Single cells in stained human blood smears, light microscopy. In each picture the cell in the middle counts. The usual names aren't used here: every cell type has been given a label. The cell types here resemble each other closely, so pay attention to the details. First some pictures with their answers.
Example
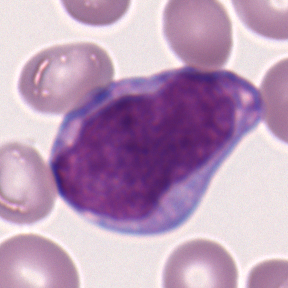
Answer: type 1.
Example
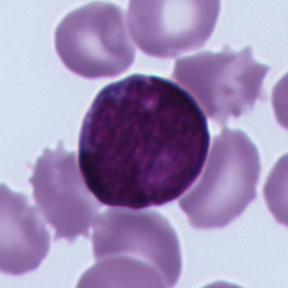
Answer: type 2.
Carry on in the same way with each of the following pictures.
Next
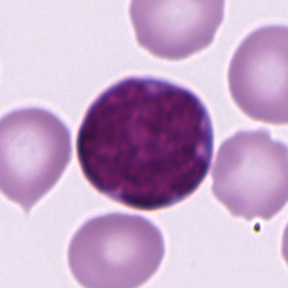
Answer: type 2.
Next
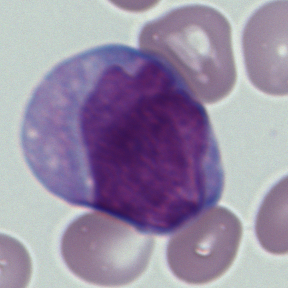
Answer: type 1.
